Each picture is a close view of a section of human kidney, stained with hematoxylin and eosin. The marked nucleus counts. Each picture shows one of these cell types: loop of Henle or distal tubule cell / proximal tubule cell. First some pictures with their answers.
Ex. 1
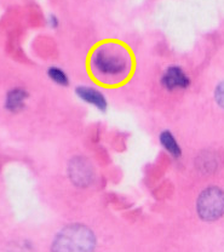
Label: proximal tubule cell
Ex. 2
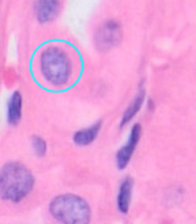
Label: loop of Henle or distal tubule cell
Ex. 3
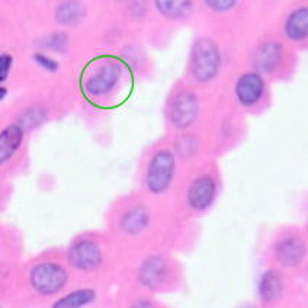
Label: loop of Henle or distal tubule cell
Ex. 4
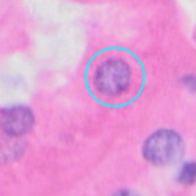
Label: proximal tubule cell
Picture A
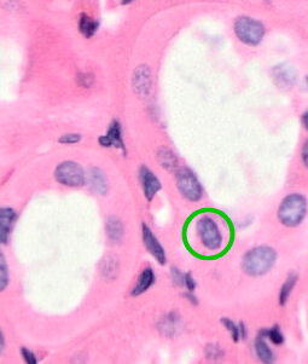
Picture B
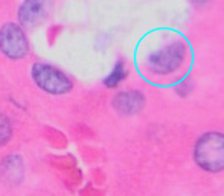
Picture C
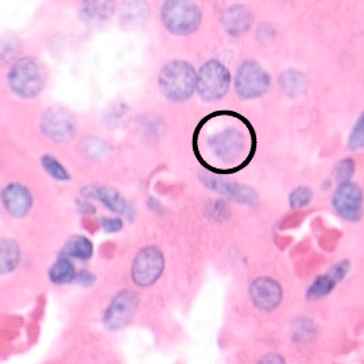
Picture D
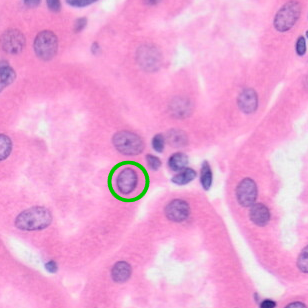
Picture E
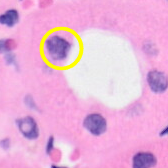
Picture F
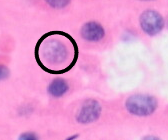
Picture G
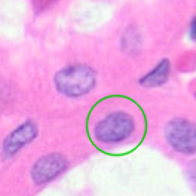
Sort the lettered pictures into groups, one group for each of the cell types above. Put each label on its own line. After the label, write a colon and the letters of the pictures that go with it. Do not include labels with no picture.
loop of Henle or distal tubule cell: A, B, C, E, F, G
proximal tubule cell: D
